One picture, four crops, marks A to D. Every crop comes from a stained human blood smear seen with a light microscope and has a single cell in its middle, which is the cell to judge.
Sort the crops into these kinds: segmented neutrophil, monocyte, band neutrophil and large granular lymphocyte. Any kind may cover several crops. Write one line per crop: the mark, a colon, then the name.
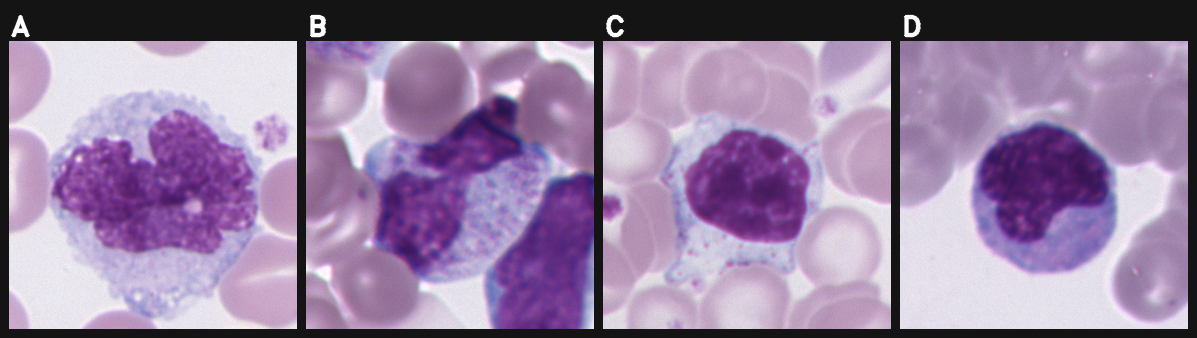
A: monocyte
B: band neutrophil
C: large granular lymphocyte
D: monocyte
